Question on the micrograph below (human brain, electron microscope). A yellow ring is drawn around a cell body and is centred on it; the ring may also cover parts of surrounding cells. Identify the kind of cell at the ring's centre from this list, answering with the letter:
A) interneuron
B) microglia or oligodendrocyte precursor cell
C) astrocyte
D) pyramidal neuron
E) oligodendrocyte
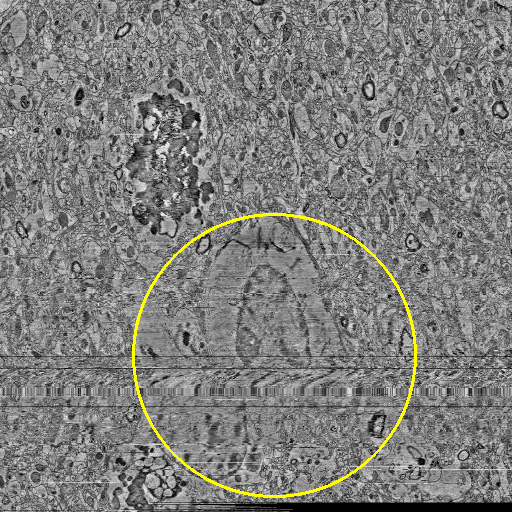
C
